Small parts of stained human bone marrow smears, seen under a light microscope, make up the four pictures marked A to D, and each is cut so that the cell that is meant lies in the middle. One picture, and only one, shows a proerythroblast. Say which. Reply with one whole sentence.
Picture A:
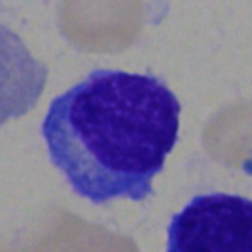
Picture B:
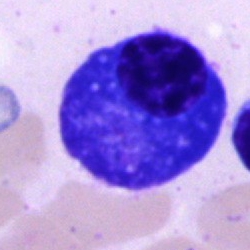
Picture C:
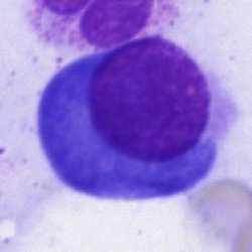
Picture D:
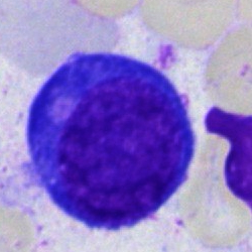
The picture with the proerythroblast is D.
